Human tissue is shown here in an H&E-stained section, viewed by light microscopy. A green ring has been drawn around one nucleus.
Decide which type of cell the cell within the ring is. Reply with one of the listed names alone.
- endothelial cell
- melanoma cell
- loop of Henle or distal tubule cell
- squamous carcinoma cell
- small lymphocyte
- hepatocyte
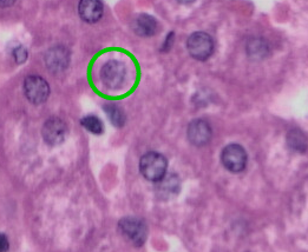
hepatocyte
